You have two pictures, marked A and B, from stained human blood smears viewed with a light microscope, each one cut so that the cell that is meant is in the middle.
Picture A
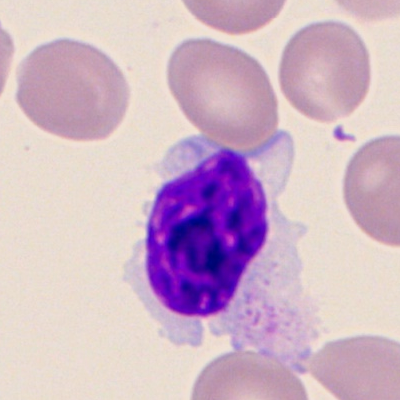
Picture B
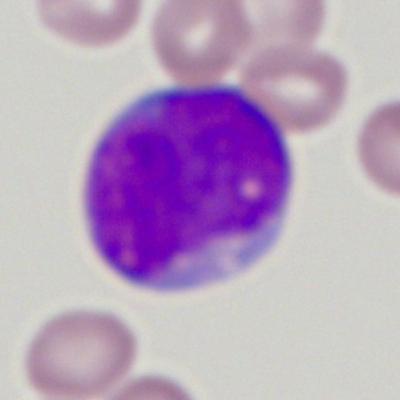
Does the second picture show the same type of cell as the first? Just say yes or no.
no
